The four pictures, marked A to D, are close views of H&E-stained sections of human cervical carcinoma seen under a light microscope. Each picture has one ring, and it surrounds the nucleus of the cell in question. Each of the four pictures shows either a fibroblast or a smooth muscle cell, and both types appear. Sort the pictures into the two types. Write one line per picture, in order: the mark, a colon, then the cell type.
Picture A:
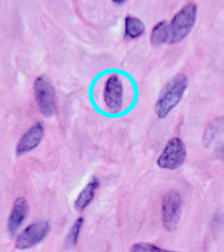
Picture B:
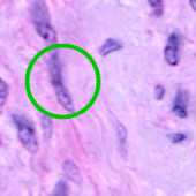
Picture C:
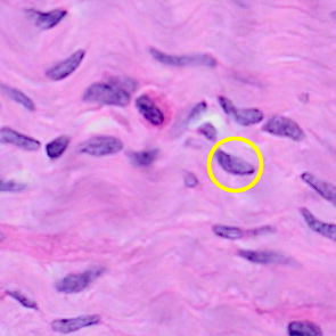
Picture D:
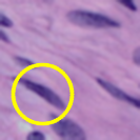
A: fibroblast
B: smooth muscle cell
C: fibroblast
D: fibroblast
